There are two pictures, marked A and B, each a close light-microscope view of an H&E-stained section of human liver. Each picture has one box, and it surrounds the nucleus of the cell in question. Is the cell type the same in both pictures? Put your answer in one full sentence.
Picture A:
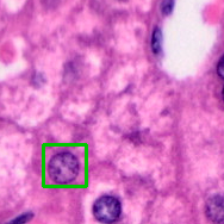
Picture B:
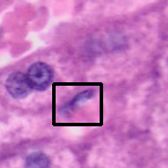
No; the cell in picture A is a hepatocyte, while the one in picture B is an endothelial cell.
